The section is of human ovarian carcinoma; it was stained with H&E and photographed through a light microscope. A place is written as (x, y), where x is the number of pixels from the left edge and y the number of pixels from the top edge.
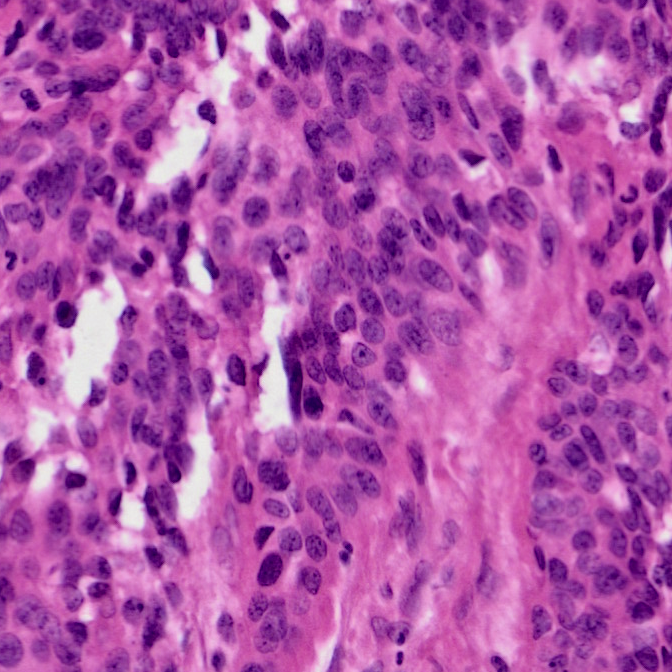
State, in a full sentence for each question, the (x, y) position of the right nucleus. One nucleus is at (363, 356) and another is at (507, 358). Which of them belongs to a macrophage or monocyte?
The nucleus contained in a macrophage or monocyte is the one at (363, 356).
